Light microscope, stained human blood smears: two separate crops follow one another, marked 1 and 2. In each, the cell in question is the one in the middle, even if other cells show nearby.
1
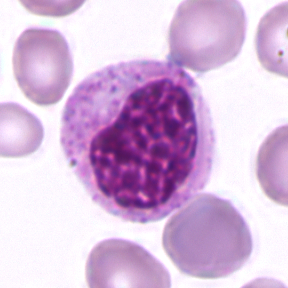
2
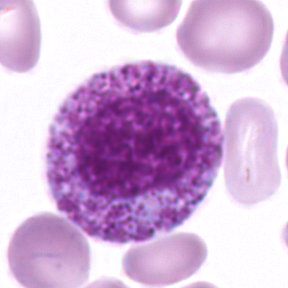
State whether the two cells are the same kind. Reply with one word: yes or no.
no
